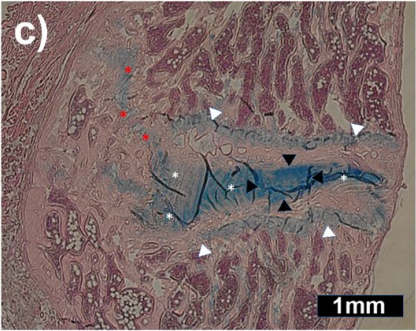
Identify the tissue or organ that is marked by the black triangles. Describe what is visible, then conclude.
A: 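The black triangles point into the centre of the blue-stained disc between the vertebrae. Layered blue bands lie on either side of this central region. That points to this answer: nucleus pulposus.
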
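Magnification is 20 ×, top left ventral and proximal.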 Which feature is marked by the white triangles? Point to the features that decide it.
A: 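The white triangles point to thin bands lining the bone just above and below the blue disc. These bands run parallel to the disc across the section. So: endplate growth plates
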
